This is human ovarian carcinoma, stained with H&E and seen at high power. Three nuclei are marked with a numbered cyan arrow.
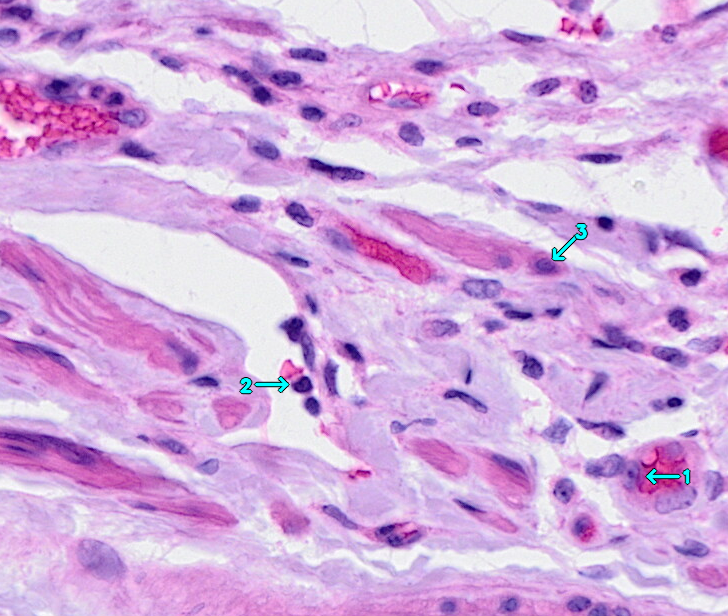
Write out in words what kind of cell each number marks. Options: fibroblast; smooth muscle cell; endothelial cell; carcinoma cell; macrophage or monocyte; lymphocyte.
Cell 1 is an endothelial cell. Cell 2 is a lymphocyte. Cell 3 is a smooth muscle cell.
